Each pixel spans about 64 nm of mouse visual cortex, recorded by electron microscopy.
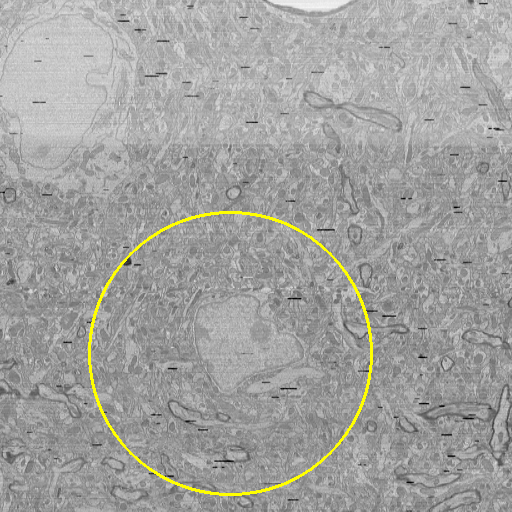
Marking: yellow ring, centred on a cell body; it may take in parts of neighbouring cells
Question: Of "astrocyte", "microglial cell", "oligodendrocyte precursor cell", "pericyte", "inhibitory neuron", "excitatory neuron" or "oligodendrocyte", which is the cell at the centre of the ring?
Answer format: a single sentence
The ring surrounds the body of an oligodendrocyte precursor cell.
